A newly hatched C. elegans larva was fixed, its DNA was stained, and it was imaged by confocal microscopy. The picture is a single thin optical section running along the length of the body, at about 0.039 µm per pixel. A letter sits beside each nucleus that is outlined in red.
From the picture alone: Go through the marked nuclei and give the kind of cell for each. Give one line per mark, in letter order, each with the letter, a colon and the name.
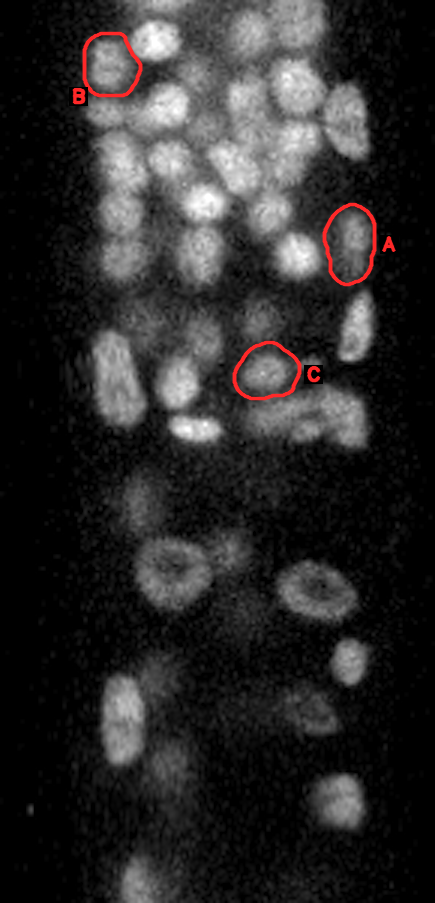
A: body wall muscle cell
B: body wall muscle cell
C: pharyngeal gland cell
